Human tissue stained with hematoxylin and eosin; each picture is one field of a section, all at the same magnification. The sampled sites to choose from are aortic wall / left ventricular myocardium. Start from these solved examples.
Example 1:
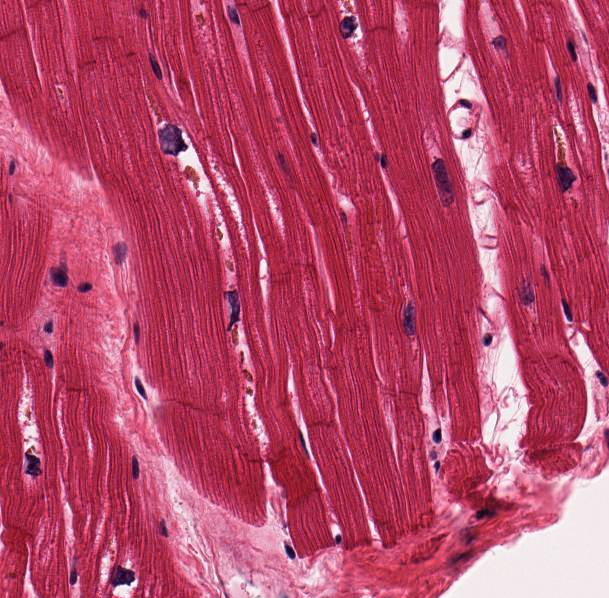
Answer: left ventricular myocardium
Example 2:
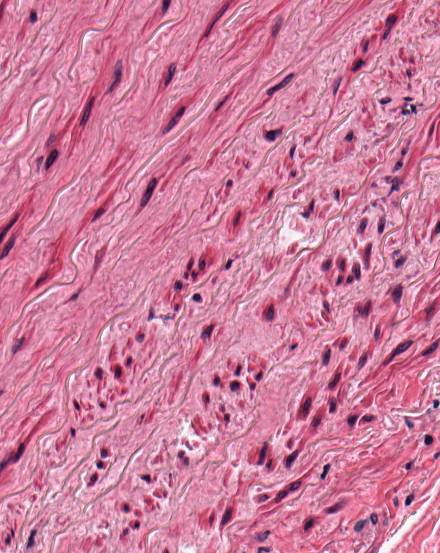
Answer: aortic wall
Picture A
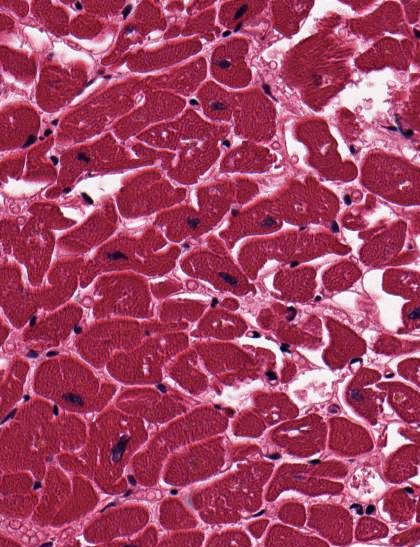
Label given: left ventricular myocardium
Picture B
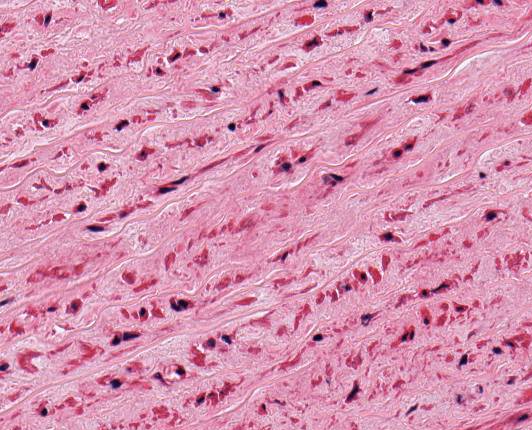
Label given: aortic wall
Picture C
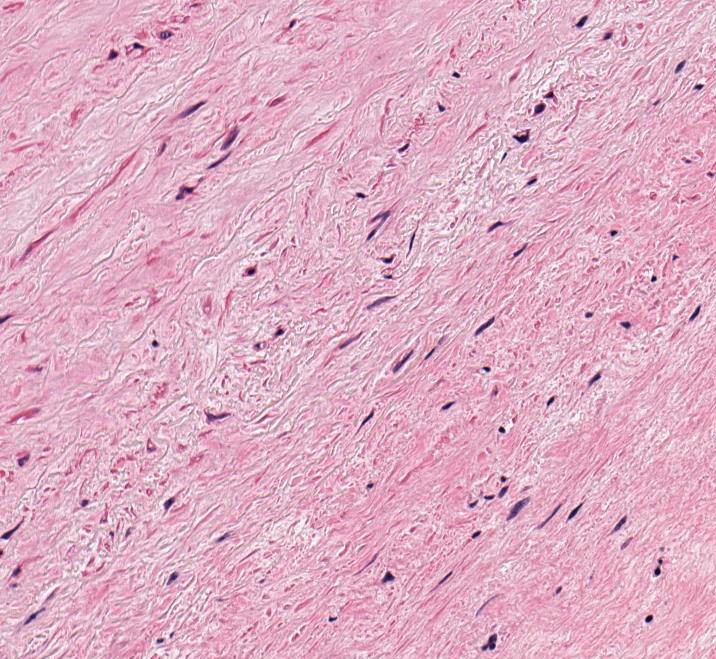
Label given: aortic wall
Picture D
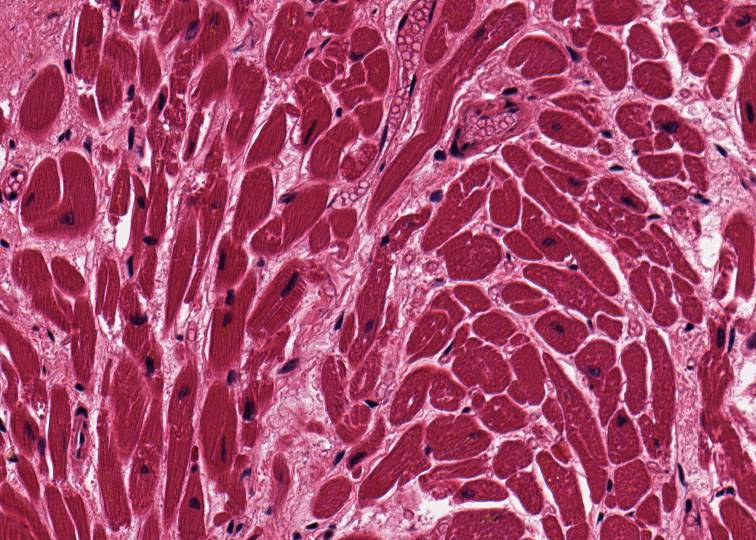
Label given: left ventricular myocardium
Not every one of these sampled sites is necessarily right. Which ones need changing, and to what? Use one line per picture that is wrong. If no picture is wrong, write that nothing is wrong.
All labels are correct.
